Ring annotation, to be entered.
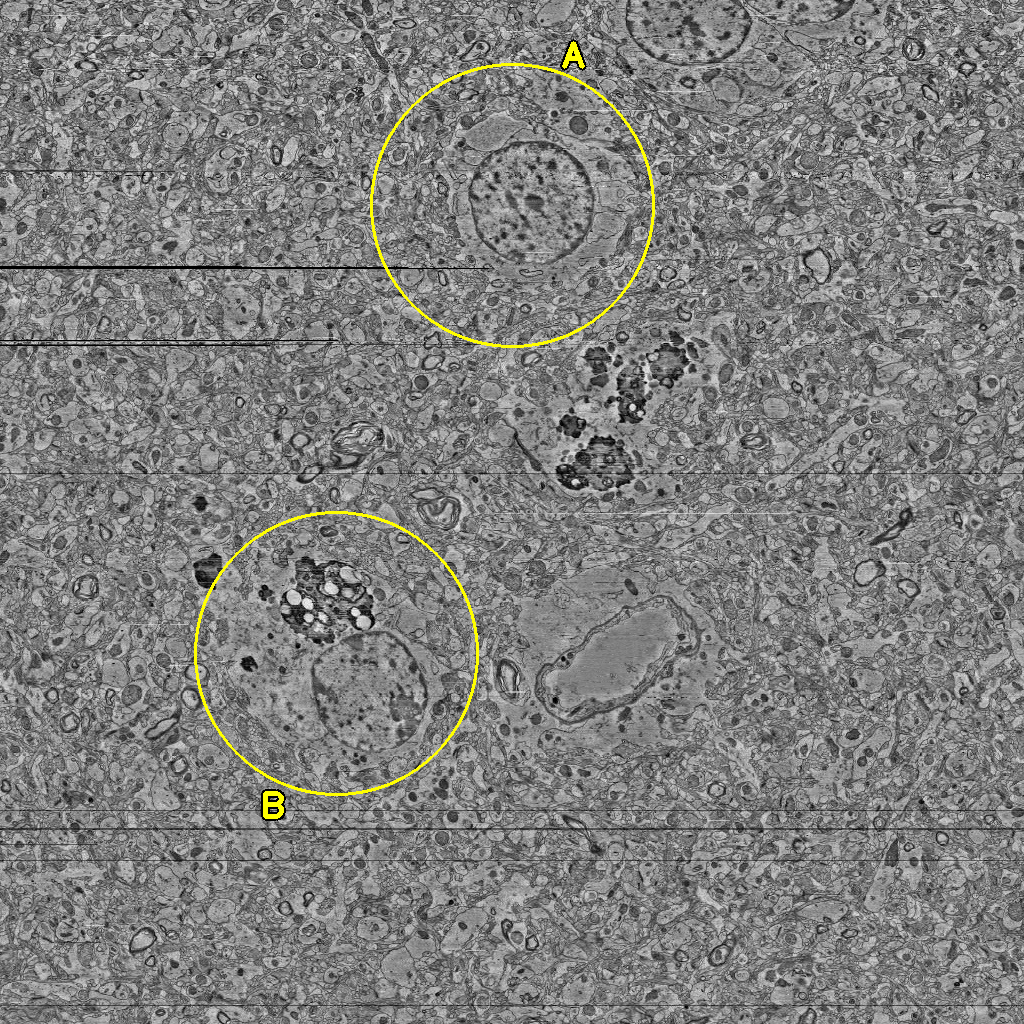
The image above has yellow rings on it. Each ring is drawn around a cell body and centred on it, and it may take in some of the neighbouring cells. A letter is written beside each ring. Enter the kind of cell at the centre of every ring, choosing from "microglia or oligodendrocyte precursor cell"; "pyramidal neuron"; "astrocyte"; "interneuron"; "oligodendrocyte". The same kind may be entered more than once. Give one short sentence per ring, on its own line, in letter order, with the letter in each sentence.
The ring marked A is centred on an astrocyte.
The ring marked B is centred on an astrocyte.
